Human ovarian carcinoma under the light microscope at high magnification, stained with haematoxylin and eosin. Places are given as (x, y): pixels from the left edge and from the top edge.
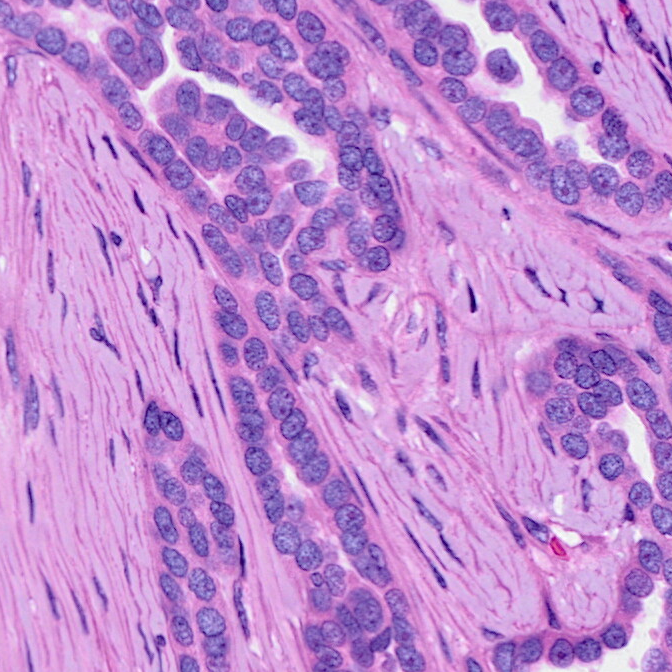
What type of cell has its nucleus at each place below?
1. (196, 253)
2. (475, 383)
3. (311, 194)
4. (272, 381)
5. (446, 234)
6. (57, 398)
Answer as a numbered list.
1. fibroblast
2. fibroblast
3. carcinoma cell
4. carcinoma cell
5. fibroblast
6. fibroblast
